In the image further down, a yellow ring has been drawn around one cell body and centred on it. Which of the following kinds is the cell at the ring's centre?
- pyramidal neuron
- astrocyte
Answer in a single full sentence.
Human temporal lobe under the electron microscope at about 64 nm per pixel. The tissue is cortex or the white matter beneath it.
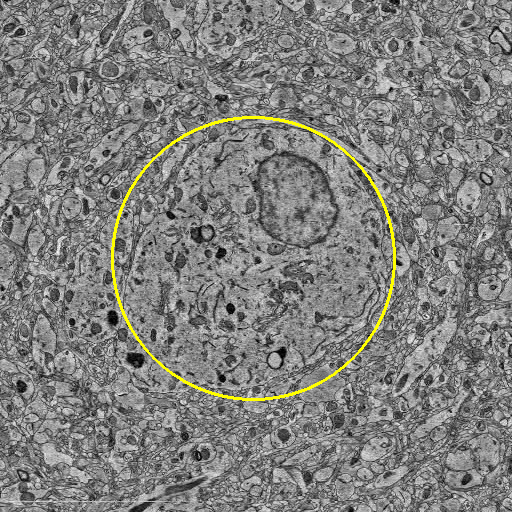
In the picture, the cell sitting at the centre of the yellow ring is a pyramidal neuron.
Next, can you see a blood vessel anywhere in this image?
No, the image shows no blood vessel.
